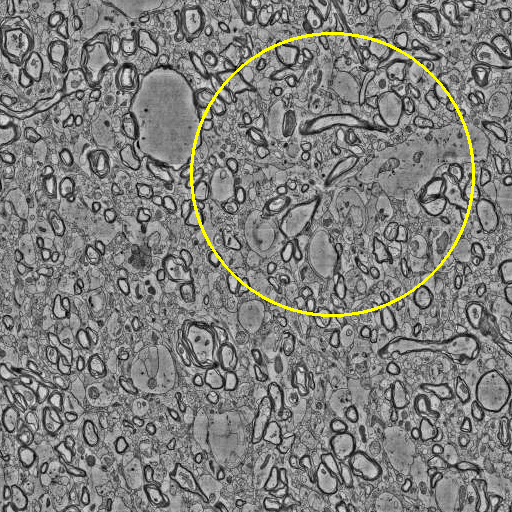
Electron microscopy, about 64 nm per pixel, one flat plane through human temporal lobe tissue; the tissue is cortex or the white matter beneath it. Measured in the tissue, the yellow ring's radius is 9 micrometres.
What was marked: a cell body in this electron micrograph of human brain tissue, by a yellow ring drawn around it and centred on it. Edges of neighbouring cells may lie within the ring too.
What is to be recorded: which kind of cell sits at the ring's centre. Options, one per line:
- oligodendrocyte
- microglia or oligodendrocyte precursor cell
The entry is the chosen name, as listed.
microglia or oligodendrocyte precursor cell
